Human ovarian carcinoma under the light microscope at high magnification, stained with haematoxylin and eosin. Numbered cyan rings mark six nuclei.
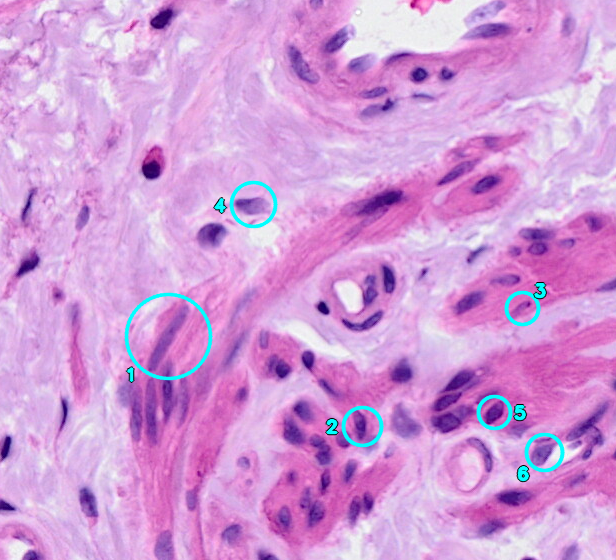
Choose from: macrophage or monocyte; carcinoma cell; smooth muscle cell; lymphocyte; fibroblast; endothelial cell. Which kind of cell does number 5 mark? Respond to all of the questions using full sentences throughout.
The cell that carries the label 5 is a smooth muscle cell.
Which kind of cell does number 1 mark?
The nucleus labeled 1 belongs to a smooth muscle cell.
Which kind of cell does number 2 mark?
Marked with the number 2, this cell is a smooth muscle cell.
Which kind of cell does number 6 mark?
Cell 6, among those numbered, is an endothelial cell.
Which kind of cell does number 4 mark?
The correct answer for cell 4 is a fibroblast.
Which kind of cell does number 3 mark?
The cell that carries the label 3 is a smooth muscle cell.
